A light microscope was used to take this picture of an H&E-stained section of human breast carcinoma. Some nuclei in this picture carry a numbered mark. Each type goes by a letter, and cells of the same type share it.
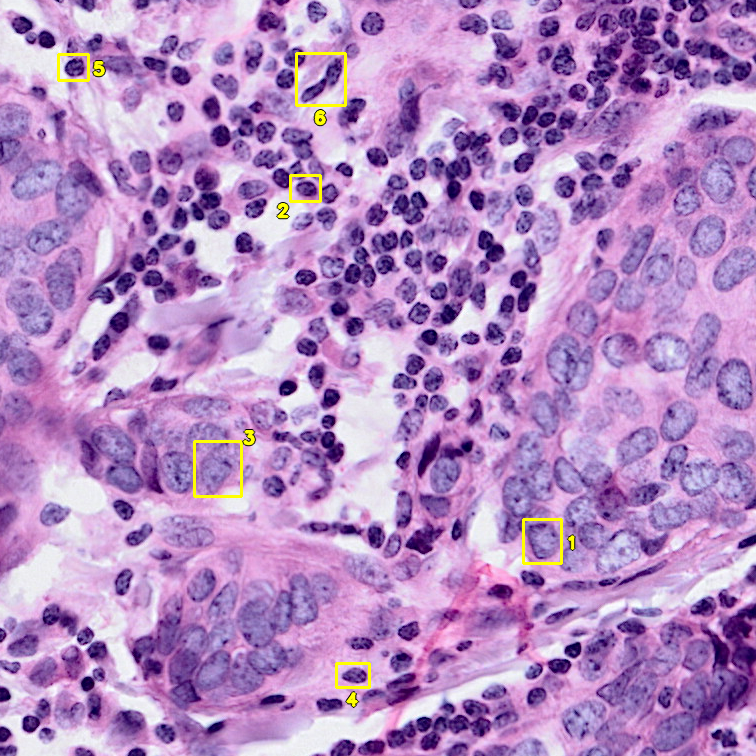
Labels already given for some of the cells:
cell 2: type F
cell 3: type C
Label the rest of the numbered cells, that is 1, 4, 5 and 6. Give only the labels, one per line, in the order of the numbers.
type C
type F
type F
type F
